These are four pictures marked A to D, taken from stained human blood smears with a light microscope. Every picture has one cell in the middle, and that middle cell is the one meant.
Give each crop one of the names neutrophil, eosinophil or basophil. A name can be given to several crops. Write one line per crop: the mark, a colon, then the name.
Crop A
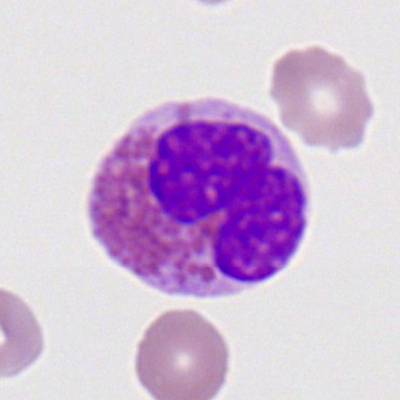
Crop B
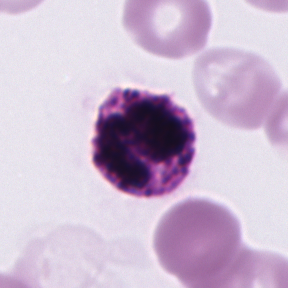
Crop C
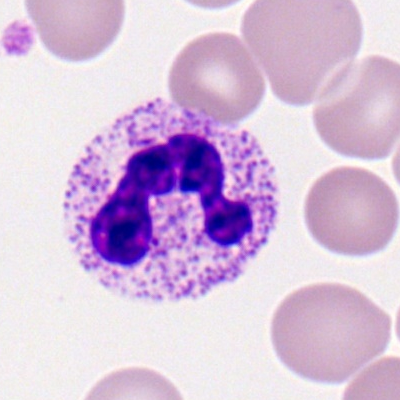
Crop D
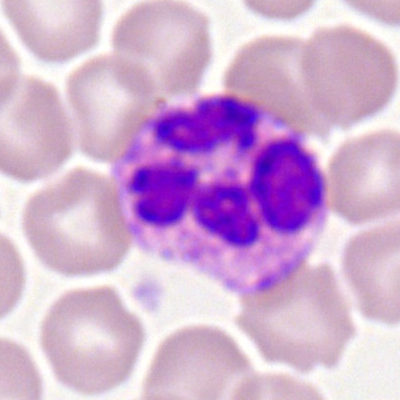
A: eosinophil
B: basophil
C: neutrophil
D: basophil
